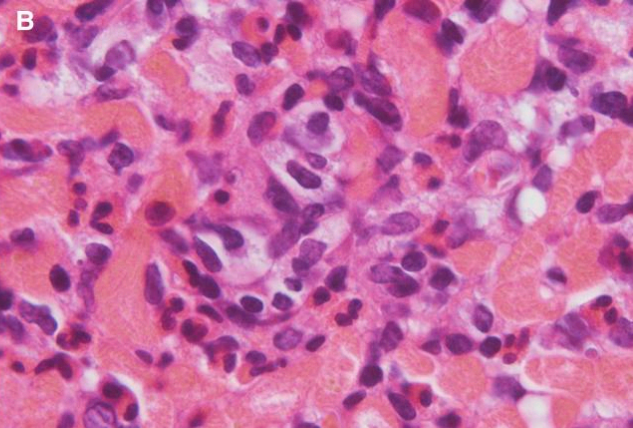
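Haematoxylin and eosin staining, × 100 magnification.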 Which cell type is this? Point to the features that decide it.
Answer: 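Many small cells have bright orange-red cytoplasm. Several of these cells have lobed dark nuclei. They lie between larger pink muscle fibres. So: eosinophils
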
